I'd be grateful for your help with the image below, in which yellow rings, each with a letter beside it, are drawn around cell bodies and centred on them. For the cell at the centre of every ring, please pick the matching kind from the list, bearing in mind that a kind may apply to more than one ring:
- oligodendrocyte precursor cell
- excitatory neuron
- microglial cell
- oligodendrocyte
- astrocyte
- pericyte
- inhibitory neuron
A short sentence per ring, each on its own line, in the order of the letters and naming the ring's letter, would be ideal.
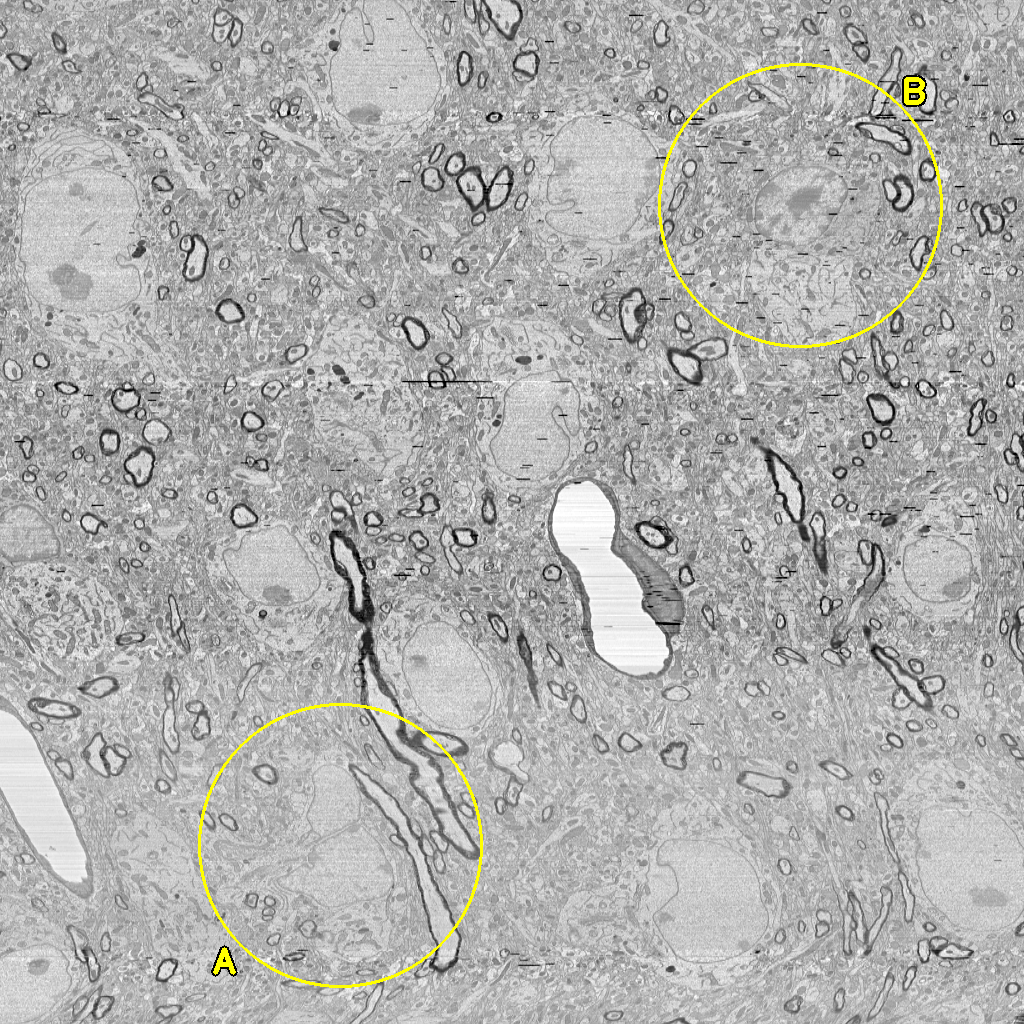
Inside ring A, the central cell is an oligodendrocyte precursor cell.
Inside ring B, the central cell is an oligodendrocyte.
